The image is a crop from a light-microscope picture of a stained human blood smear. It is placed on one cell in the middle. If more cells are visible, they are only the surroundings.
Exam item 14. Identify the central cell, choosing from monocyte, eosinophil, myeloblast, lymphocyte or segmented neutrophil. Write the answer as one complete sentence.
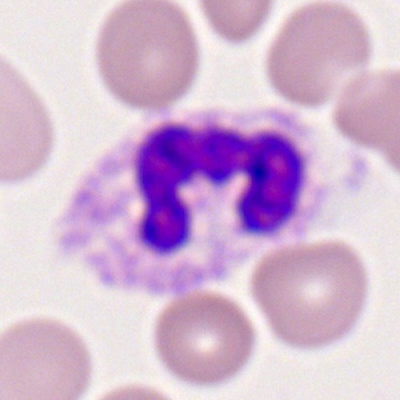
This crop has a segmented neutrophil at its centre.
